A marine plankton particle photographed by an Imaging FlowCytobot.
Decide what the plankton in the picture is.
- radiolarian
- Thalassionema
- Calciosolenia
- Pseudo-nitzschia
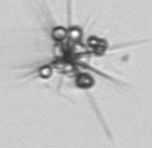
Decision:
radiolarian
